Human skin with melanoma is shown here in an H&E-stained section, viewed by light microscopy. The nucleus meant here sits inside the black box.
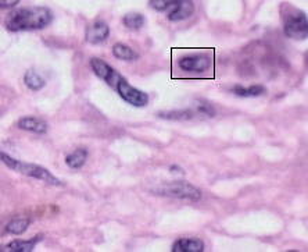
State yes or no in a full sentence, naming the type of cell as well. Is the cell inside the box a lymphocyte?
No, the cell inside the box is a macrophage or monocyte rather than a lymphocyte.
